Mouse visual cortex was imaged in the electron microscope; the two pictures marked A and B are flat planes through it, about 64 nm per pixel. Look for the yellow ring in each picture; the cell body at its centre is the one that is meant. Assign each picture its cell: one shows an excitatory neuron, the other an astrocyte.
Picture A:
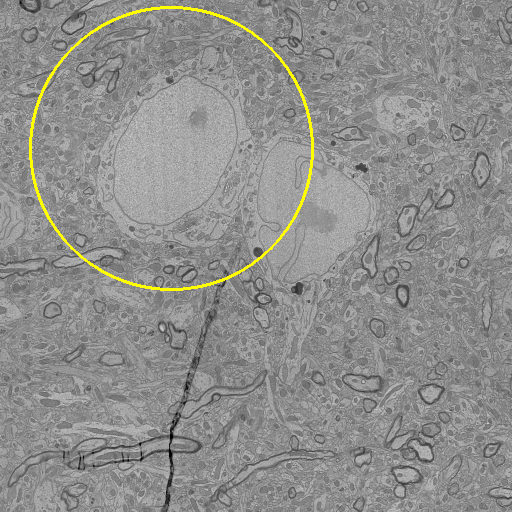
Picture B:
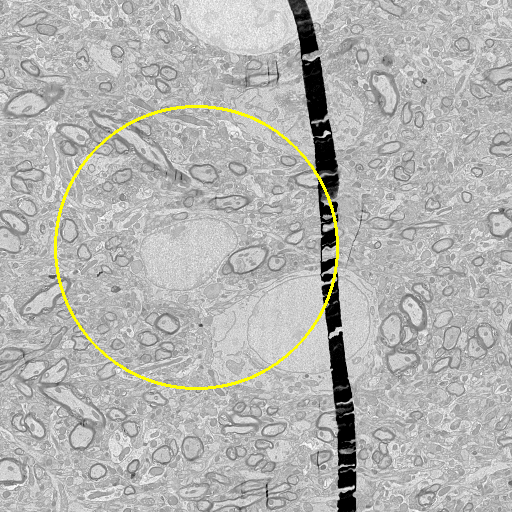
Picture B shows an astrocyte, while picture A shows an excitatory neuron.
